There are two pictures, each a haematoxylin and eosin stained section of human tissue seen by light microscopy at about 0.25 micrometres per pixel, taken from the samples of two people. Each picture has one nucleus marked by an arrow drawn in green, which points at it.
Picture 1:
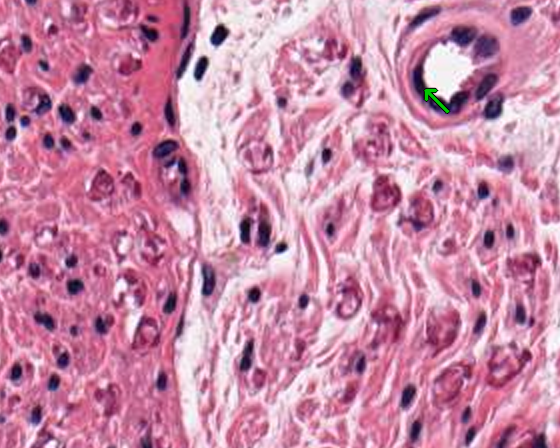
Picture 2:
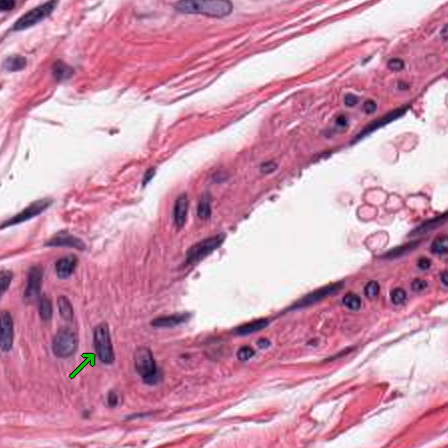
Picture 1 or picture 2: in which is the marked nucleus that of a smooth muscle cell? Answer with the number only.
2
